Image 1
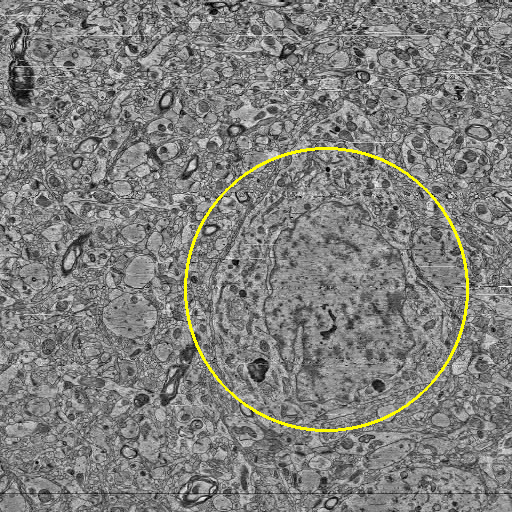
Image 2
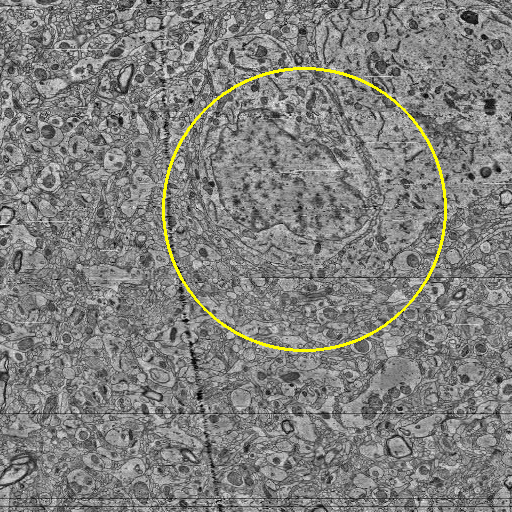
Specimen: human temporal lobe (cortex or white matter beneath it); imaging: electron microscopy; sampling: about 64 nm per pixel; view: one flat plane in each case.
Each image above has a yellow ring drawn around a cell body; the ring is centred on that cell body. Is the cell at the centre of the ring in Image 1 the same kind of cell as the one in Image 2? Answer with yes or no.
yes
